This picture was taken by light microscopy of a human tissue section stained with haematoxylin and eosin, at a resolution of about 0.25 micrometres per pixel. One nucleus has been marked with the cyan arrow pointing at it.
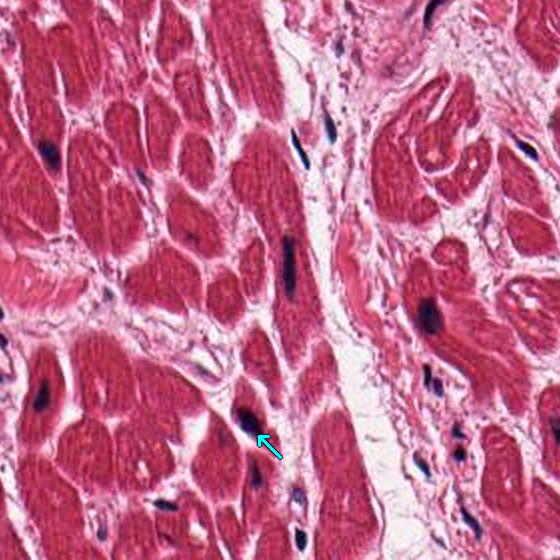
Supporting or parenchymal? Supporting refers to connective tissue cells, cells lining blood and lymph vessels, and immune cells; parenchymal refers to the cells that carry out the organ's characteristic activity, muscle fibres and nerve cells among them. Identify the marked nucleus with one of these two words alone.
parenchymal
